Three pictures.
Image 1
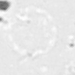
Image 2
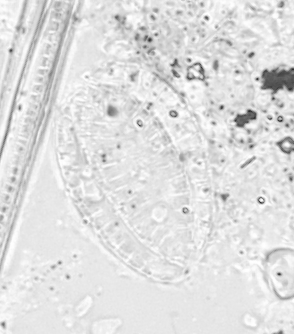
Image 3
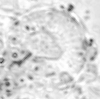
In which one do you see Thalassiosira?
In picture 1.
